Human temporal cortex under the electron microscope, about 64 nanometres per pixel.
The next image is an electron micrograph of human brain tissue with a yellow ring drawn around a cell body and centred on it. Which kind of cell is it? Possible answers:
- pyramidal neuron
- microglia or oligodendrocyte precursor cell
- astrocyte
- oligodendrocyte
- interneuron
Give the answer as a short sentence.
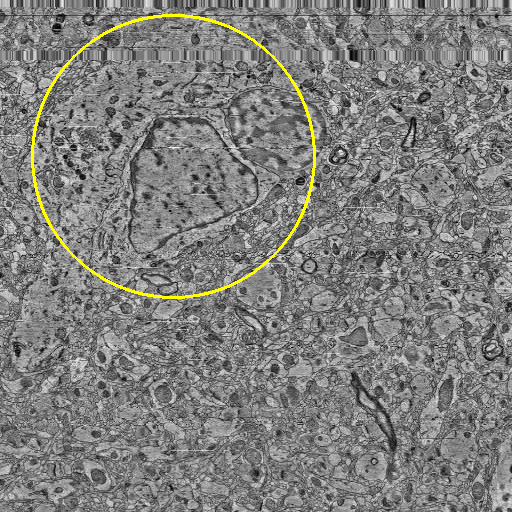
In the ring's centre is a microglial cell or oligodendrocyte precursor cell.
